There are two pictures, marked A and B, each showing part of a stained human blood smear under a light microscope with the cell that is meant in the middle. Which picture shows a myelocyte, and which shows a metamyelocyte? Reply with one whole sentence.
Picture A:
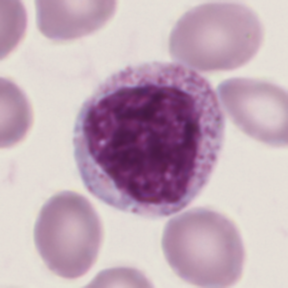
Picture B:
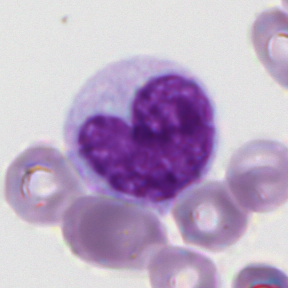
It is picture A that shows a myelocyte, and picture B that shows a metamyelocyte.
